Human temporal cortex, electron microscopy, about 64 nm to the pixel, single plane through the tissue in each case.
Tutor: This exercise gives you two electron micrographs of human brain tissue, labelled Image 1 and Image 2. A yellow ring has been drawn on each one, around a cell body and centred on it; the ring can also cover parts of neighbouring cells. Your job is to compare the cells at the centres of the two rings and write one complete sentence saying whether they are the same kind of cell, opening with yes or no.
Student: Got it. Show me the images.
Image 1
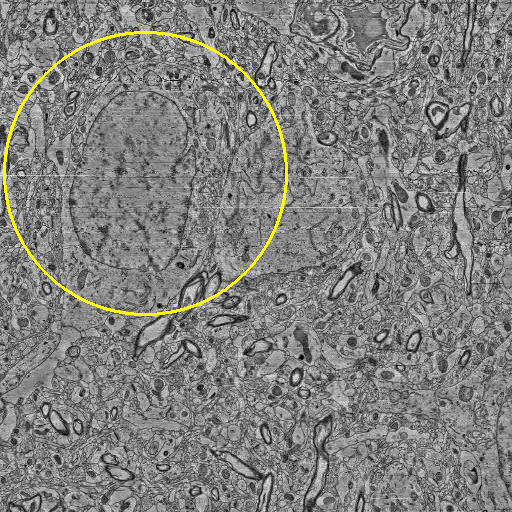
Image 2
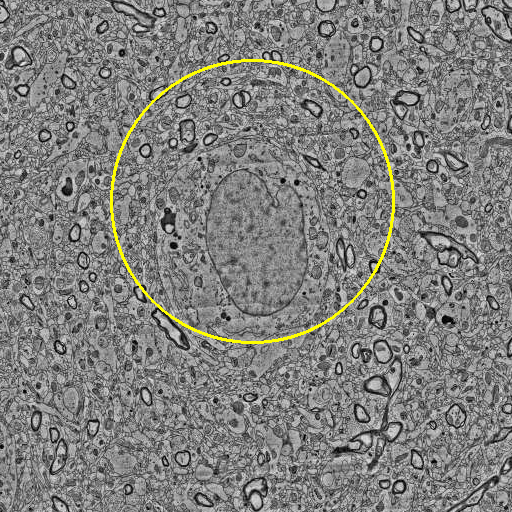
Yes, the two cells belong to the same kind.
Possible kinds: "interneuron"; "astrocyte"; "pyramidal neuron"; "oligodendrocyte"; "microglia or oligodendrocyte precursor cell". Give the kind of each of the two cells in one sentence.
In both pictures the ring is centred on a pyramidal neuron.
